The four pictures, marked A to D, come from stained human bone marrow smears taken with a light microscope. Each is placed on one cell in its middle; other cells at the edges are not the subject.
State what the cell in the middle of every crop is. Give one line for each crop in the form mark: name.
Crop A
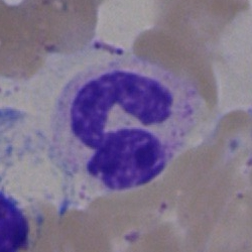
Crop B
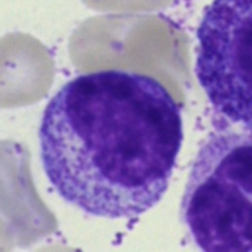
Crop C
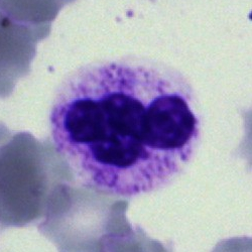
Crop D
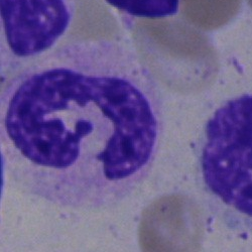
A: segmented neutrophil
B: myelocyte
C: segmented neutrophil
D: segmented neutrophil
